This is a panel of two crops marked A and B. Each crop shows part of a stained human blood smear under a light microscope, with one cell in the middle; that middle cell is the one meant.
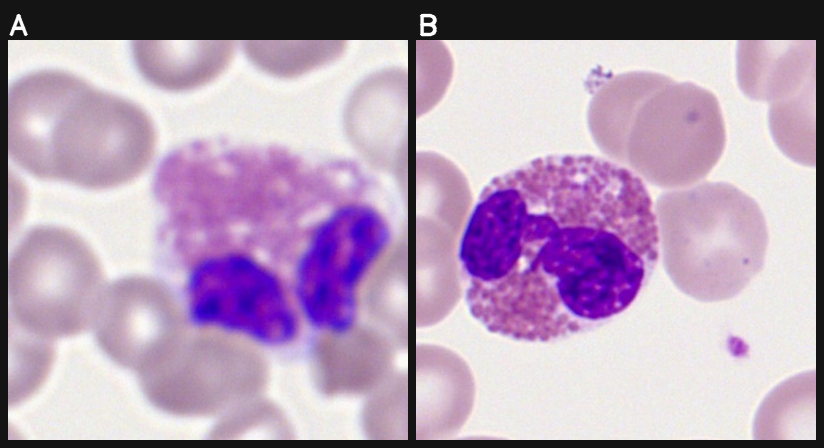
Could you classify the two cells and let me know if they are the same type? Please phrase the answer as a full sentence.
Yes, the cells at the centre of the two crops are both eosinophils.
